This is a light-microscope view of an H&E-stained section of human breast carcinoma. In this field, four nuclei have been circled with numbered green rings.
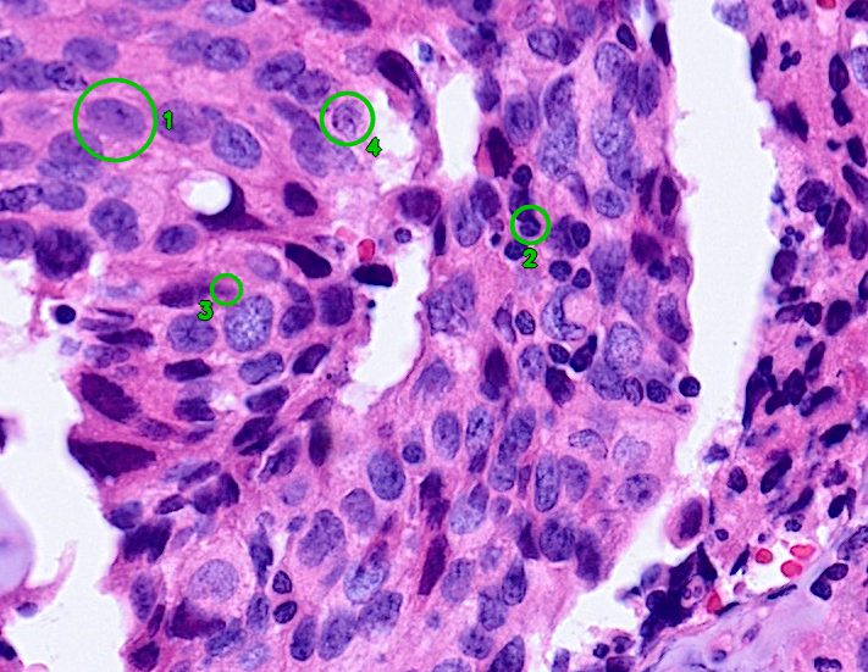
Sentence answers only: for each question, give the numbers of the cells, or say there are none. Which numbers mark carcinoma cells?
The cells tagged with numbers 1, 3 and 4 are carcinoma cells.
